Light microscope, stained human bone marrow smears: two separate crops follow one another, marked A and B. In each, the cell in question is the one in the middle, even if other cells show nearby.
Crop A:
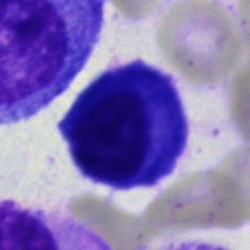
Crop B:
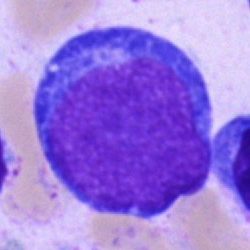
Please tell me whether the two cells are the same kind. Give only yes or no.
no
